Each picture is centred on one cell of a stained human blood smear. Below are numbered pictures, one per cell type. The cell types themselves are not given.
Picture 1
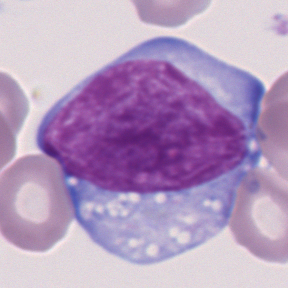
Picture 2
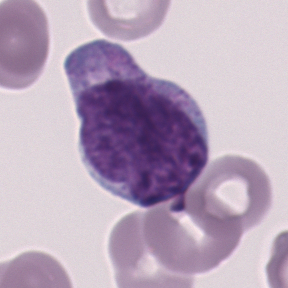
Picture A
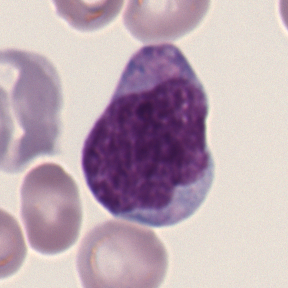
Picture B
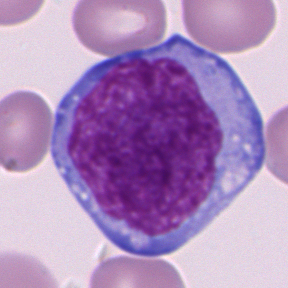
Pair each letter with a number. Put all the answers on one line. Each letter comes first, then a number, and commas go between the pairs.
A 2, B 1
